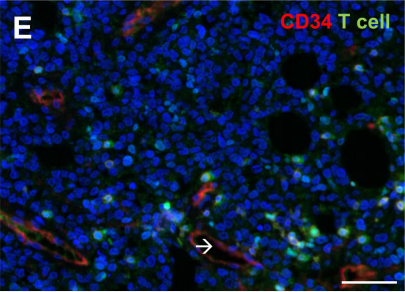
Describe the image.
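A dense, uniform sheet of closely packed cells with round blue nuclei fills the field, interrupted by a few empty spaces. Thin elongated red structures mark vessel walls, and fewer green-rimmed round cells lie scattered among the packed cells, several of them near a vessel.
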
